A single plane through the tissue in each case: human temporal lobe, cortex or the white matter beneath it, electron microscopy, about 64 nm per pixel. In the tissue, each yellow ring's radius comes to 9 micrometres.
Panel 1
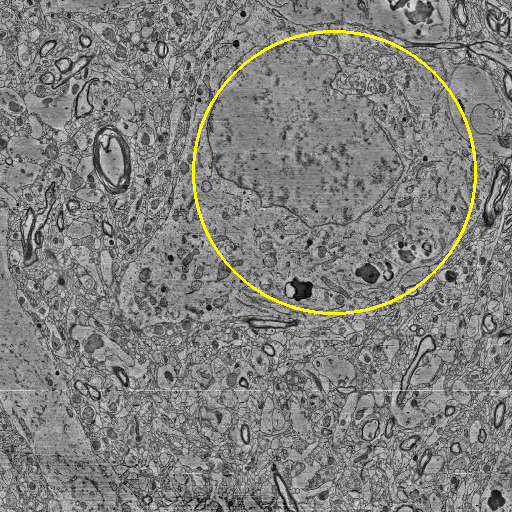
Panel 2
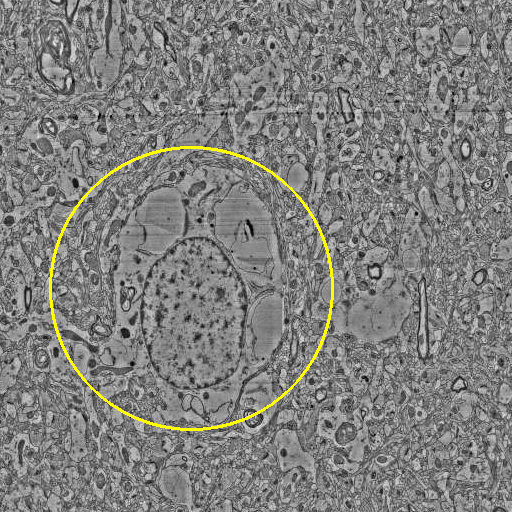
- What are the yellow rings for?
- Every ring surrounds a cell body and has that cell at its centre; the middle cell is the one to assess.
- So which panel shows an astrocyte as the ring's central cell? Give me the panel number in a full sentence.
The panel whose ring is centred on the cell in question is panel 2.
